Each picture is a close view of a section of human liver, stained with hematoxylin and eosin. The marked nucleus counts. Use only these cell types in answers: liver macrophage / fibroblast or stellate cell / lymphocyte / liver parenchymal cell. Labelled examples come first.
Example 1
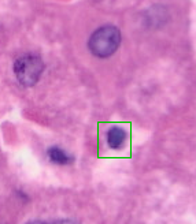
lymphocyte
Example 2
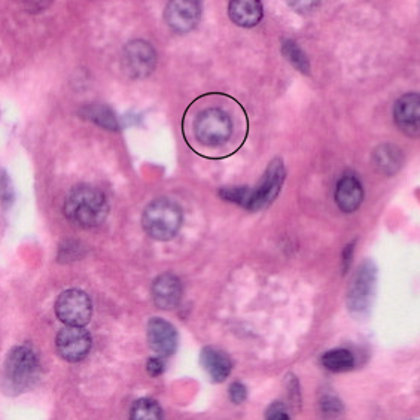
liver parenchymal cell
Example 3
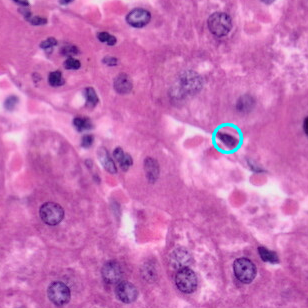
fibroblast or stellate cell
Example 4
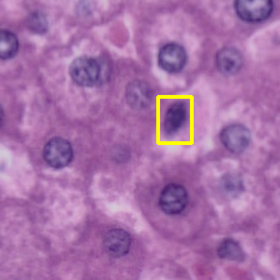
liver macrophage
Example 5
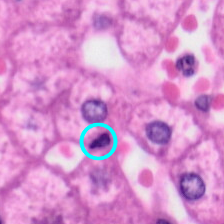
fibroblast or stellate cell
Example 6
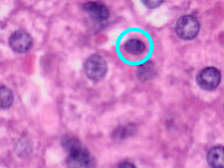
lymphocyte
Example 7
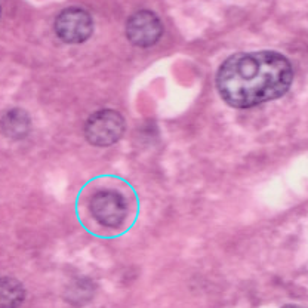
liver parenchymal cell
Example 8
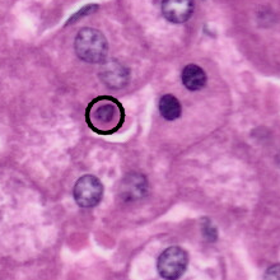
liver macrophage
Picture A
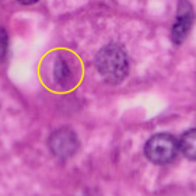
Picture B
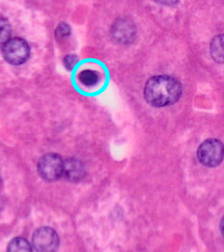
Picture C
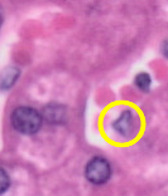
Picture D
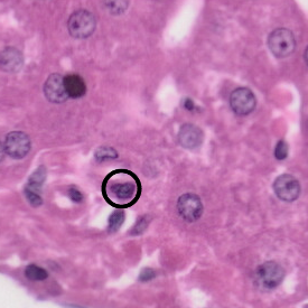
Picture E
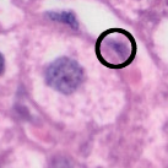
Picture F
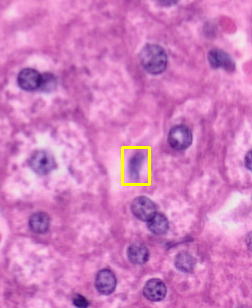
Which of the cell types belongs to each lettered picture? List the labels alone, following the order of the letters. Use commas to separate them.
fibroblast or stellate cell, lymphocyte, liver macrophage, fibroblast or stellate cell, liver macrophage, liver macrophage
